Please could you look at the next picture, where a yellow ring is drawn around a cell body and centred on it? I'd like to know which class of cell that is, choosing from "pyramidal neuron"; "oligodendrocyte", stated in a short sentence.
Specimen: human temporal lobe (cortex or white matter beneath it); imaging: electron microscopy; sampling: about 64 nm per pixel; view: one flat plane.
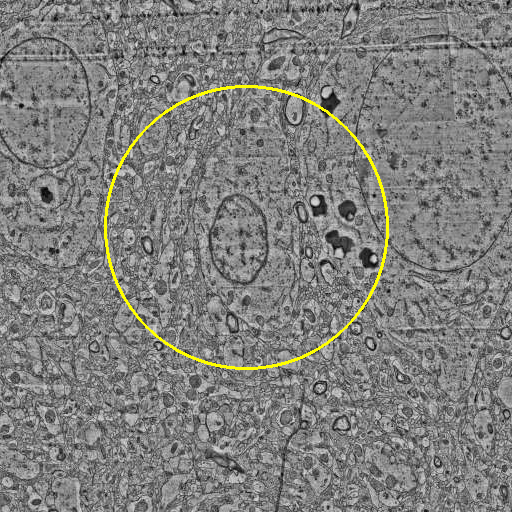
The ring's centre lies on a pyramidal neuron.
